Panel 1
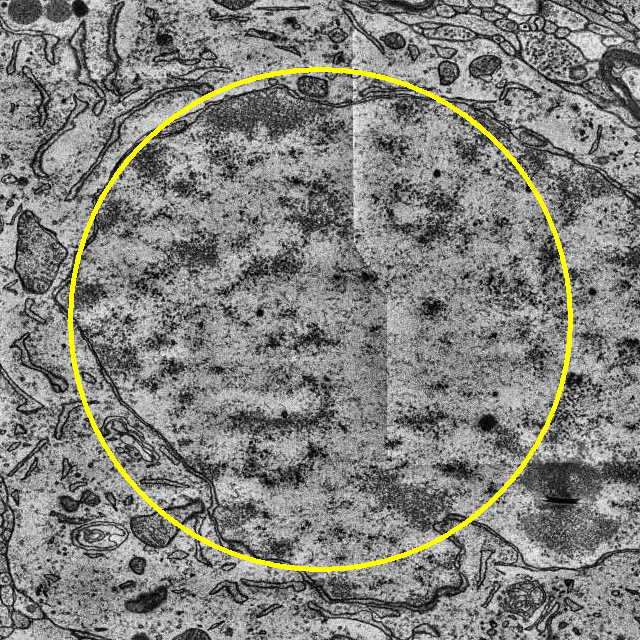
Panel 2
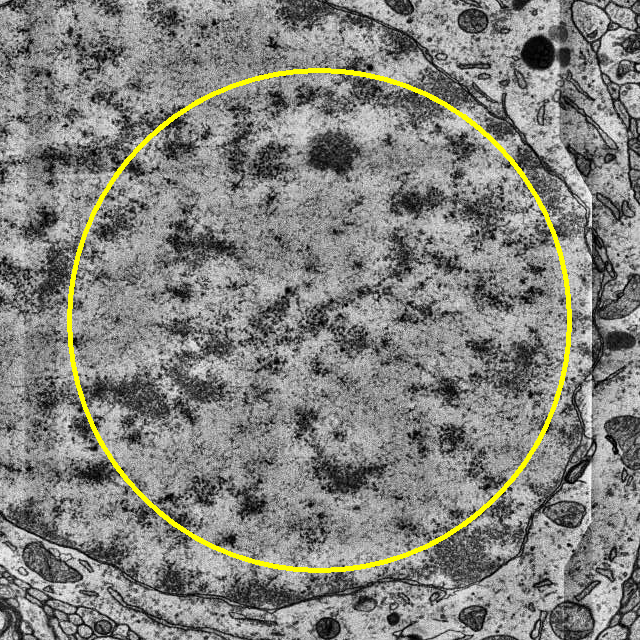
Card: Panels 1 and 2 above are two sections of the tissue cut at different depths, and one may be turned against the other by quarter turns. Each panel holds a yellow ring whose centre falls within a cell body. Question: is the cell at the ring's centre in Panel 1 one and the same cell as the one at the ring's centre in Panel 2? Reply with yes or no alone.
yes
